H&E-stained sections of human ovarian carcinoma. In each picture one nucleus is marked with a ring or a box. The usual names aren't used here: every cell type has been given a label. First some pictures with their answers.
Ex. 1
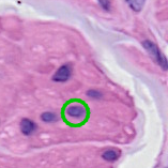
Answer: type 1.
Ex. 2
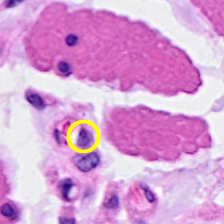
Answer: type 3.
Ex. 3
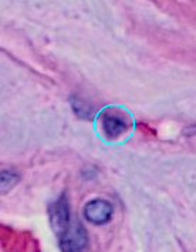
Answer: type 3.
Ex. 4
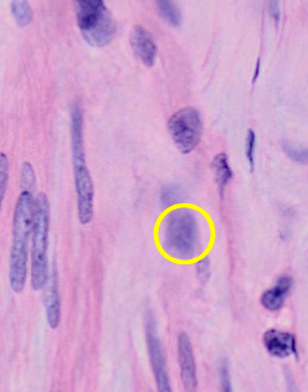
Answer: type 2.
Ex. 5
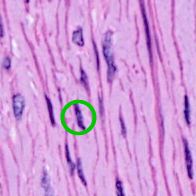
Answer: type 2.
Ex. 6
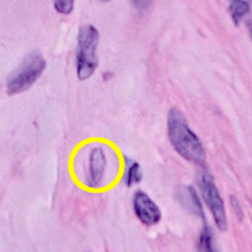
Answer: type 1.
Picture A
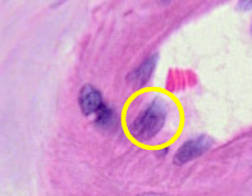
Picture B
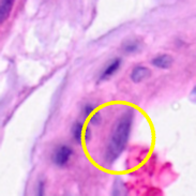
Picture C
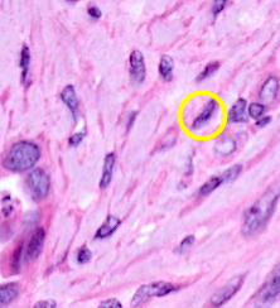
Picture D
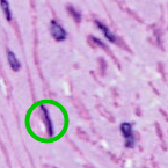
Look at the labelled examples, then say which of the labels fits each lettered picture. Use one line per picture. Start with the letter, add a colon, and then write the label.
A: type 3.
B: type 3.
C: type 2.
D: type 2.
